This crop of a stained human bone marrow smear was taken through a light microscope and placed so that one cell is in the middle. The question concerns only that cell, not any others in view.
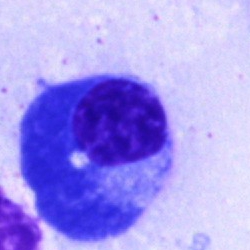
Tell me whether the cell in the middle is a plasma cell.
yes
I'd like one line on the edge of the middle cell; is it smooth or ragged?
Its periphery is smooth, and no projections arise from it.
